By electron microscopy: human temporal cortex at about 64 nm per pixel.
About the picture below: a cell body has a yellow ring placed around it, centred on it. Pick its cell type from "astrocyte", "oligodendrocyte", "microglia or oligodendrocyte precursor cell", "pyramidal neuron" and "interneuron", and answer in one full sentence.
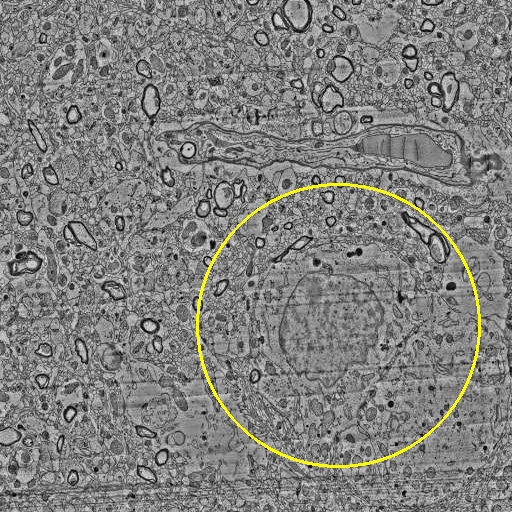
In the picture, an interneuron is the cell sitting at the centre of the yellow ring.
